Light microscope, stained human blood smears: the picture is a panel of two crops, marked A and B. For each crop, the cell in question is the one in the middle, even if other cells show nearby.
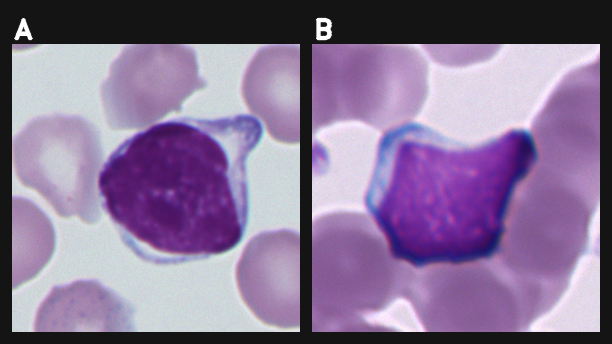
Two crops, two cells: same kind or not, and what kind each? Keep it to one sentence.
Yes, both crops show a cell each, and these are typical lymphocytes.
